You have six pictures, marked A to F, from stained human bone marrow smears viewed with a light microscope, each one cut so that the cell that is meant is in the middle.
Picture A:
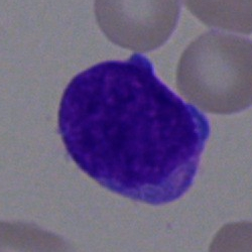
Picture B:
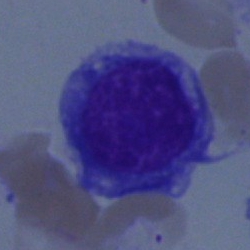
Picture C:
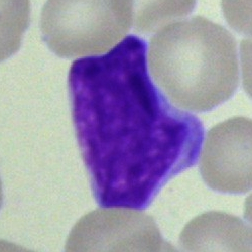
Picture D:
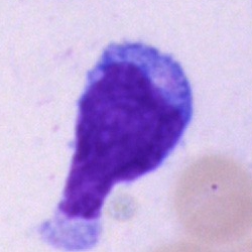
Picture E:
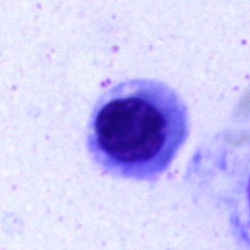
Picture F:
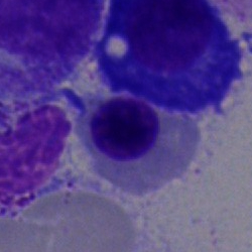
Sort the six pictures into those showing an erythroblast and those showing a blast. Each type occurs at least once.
A: blast
B: erythroblast
C: blast
D: blast
E: erythroblast
F: erythroblast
